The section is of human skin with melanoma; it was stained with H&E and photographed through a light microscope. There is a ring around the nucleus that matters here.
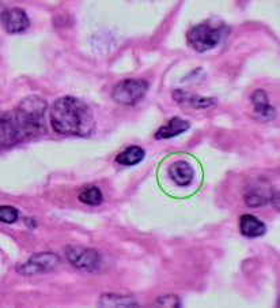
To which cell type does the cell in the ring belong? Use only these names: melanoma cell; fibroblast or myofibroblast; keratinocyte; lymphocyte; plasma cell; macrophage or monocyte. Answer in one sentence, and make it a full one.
On this particular slide, the cell in the ring is a lymphocyte.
